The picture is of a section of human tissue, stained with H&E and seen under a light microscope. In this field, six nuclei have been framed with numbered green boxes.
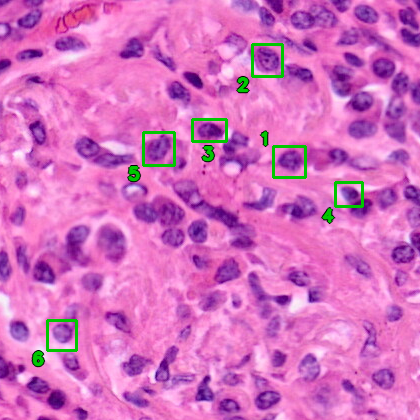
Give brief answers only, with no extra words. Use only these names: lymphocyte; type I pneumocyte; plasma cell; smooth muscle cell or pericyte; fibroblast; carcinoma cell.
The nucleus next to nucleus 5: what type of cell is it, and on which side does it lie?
a plasma cell below and to the right of nucleus 5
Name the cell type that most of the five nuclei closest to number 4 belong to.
plasma cell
